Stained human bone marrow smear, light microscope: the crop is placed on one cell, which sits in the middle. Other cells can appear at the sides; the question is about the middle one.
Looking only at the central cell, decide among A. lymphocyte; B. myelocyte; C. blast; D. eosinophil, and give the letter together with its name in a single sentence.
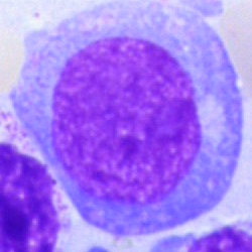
According to option C, which is correct, the cell in the middle is a blast.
